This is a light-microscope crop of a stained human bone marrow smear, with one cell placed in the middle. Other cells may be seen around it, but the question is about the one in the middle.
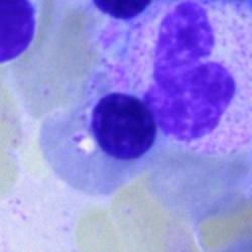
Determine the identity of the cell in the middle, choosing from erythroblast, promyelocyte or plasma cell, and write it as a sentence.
At the crop's centre, the cell is an erythroblast.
